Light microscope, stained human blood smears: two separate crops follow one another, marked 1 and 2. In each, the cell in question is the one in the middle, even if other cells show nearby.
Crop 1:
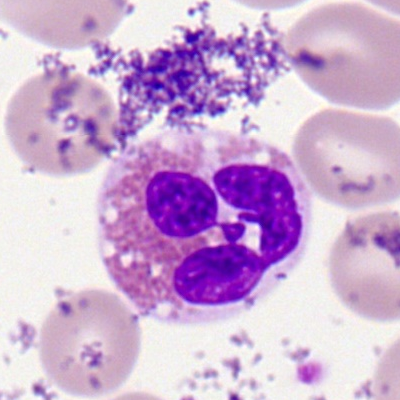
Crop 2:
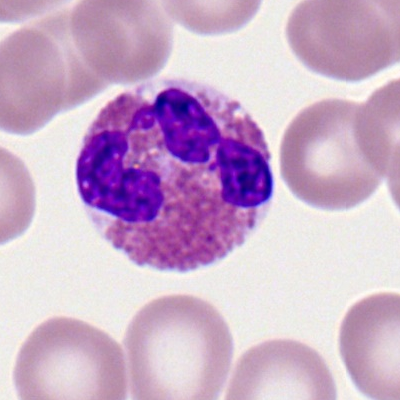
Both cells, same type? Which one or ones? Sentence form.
Yes, the cells found in the middle of both crops are eosinophils.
